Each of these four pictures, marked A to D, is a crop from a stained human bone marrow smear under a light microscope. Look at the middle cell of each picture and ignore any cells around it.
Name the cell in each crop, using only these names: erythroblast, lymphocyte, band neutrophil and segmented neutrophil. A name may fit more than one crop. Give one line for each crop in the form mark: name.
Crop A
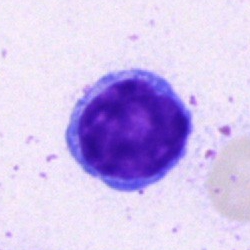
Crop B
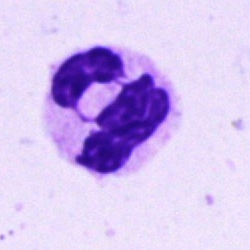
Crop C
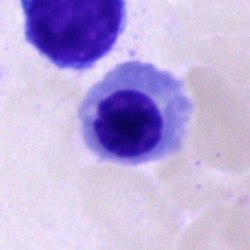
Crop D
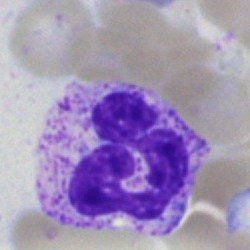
A: lymphocyte
B: segmented neutrophil
C: erythroblast
D: segmented neutrophil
